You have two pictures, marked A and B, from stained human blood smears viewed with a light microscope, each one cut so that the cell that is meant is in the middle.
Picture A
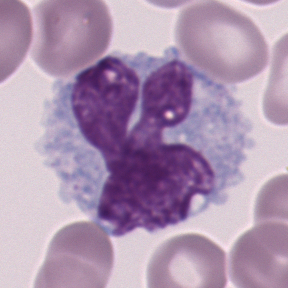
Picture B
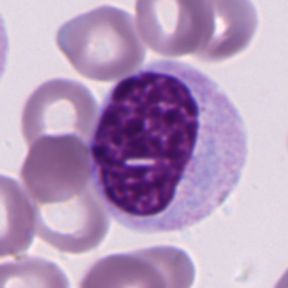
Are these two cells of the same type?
no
